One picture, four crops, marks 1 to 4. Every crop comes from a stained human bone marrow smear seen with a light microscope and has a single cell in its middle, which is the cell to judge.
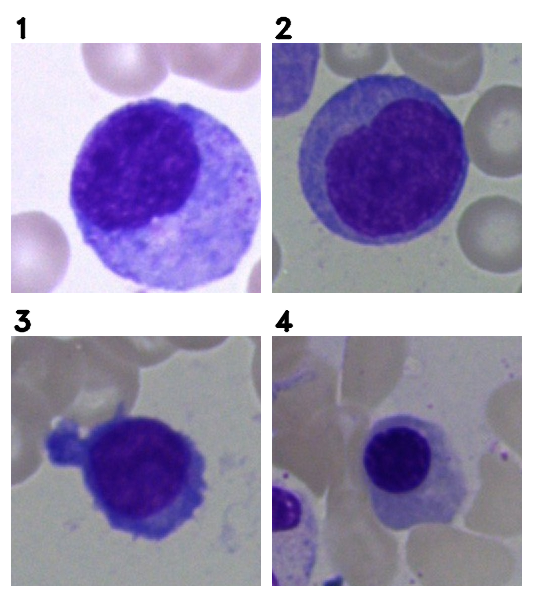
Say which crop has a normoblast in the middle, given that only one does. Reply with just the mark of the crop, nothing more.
4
